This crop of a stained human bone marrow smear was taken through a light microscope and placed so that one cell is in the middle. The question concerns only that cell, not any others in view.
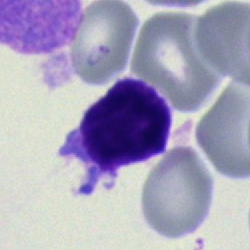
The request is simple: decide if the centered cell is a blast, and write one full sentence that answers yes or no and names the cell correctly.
No, the cell in the centre is to be called a lymphocyte instead of a blast.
